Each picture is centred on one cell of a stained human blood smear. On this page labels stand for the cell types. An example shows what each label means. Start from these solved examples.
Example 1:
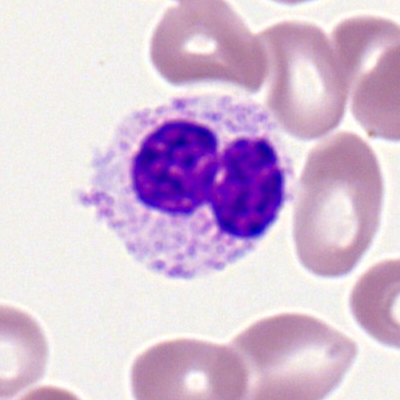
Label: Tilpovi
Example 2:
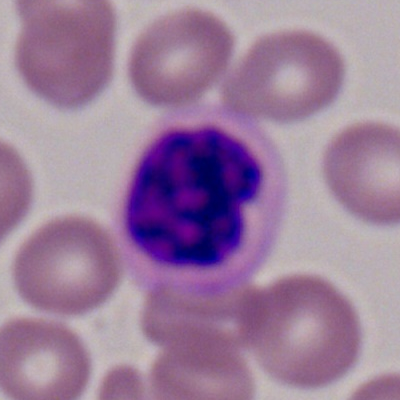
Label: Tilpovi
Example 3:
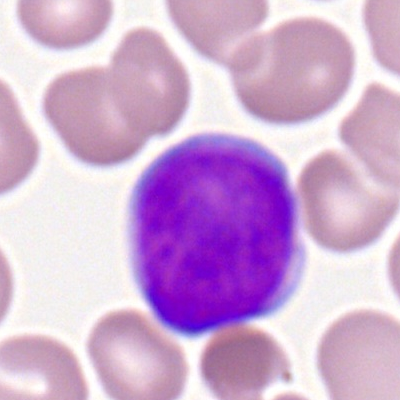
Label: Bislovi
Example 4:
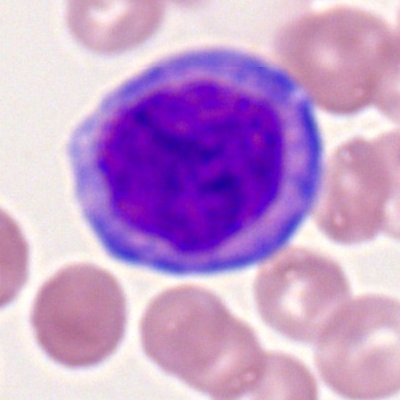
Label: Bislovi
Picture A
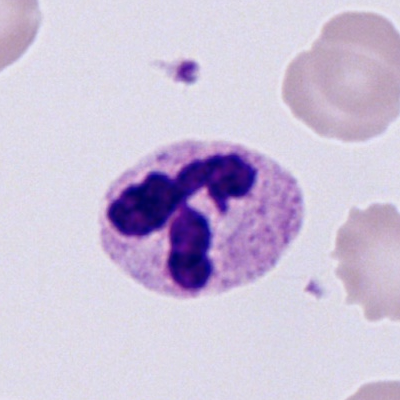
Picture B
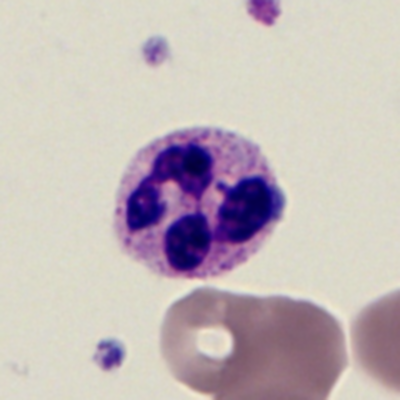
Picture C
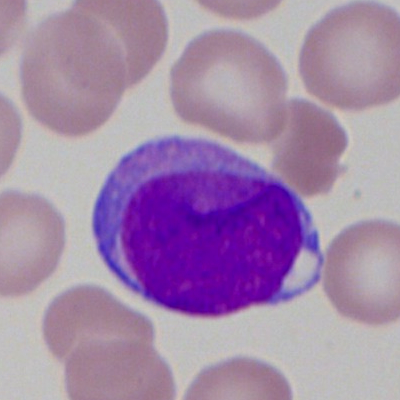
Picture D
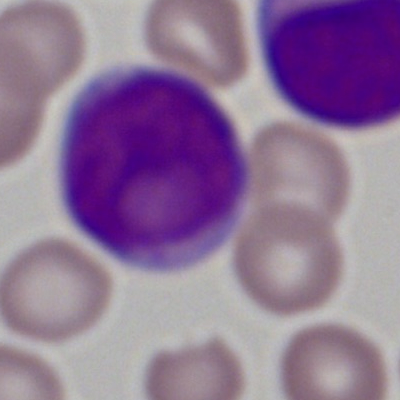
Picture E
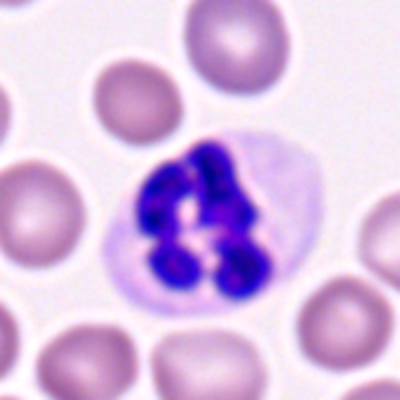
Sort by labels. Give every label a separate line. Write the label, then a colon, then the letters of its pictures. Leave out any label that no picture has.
Tilpovi: A, B, E
Bislovi: C, D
